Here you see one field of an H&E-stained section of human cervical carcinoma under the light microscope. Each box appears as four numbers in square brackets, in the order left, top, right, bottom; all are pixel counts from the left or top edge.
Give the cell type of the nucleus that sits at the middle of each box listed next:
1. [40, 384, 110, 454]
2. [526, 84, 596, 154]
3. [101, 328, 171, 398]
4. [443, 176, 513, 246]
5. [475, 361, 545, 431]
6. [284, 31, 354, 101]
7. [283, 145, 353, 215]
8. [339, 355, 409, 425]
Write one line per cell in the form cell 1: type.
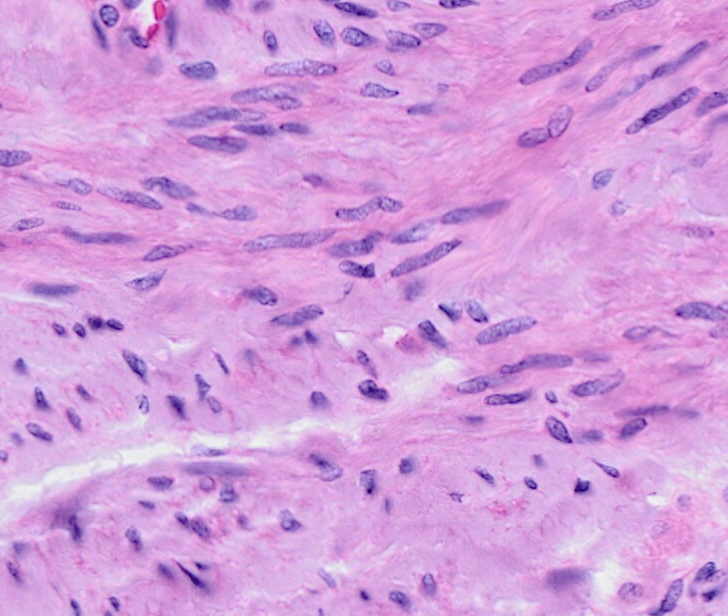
cell 1: smooth muscle cell
cell 2: smooth muscle cell
cell 3: fibroblast
cell 4: fibroblast
cell 5: fibroblast
cell 6: smooth muscle cell
cell 7: smooth muscle cell
cell 8: lymphocyte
